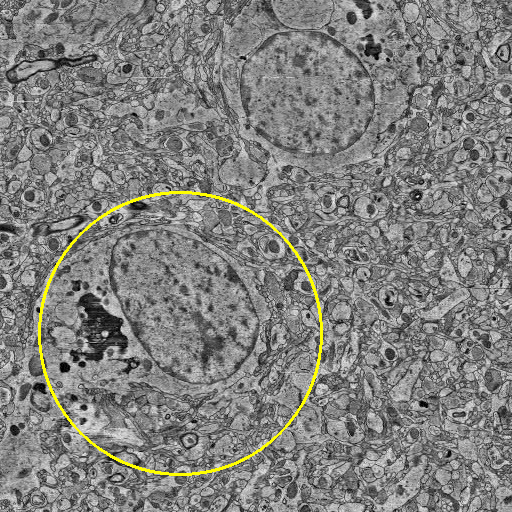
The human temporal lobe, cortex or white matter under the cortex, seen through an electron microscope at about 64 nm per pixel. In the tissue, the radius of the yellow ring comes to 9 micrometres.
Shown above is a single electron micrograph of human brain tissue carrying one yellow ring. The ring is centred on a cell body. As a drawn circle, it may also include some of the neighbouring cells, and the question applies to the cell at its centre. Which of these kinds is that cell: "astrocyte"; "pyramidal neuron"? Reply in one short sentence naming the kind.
The cell marked by the ring is an astrocyte.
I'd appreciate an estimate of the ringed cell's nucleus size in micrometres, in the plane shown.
About 11 by 8 micrometers; the nucleus is clearly longer than it is wide in this plane.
